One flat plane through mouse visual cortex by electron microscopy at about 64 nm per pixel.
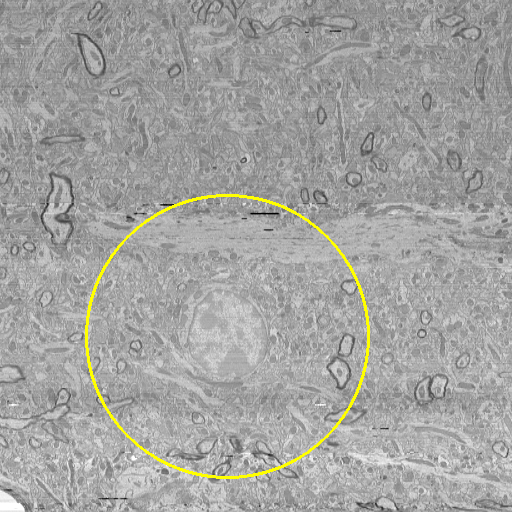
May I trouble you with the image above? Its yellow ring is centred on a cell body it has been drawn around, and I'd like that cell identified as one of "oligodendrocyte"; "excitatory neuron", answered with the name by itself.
oligodendrocyte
